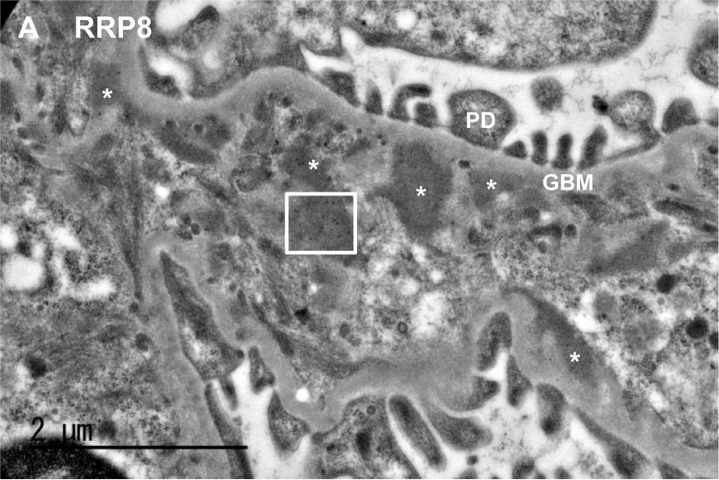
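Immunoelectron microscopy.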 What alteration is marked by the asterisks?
Electron-dense deposit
